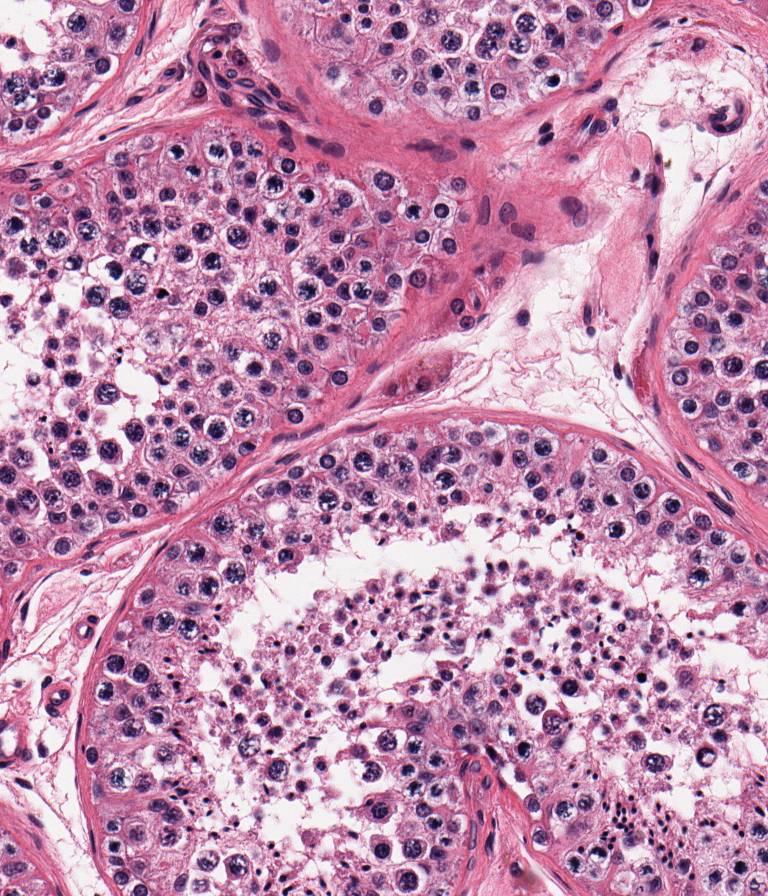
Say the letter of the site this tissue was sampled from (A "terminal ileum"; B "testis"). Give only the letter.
B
